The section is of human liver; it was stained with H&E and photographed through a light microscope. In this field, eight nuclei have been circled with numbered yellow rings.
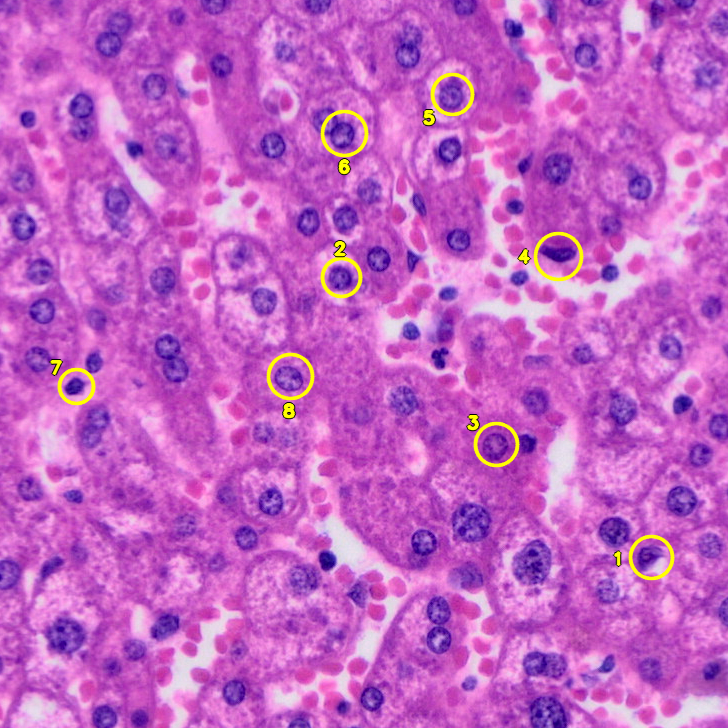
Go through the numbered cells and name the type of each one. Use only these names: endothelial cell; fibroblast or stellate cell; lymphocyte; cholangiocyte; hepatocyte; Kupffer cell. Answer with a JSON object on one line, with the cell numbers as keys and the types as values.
{"1": "endothelial cell", "2": "hepatocyte", "3": "hepatocyte", "4": "fibroblast or stellate cell", "5": "hepatocyte", "6": "hepatocyte", "7": "lymphocyte", "8": "hepatocyte"}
